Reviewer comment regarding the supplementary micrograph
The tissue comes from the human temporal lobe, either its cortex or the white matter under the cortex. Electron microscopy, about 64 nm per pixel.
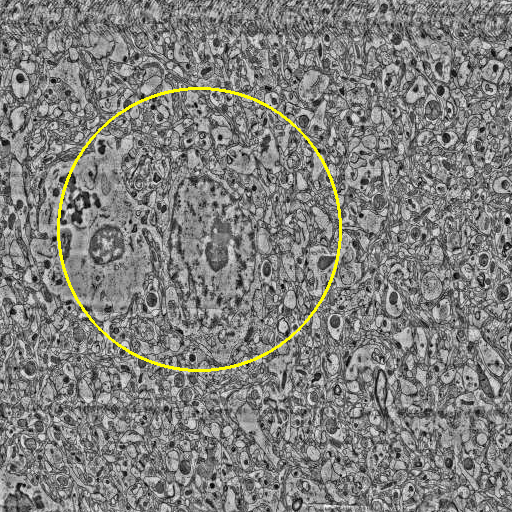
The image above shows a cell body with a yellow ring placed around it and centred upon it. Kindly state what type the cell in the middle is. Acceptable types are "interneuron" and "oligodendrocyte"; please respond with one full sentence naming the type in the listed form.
In the image above, the cell on which the yellow ring is centred is an interneuron.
